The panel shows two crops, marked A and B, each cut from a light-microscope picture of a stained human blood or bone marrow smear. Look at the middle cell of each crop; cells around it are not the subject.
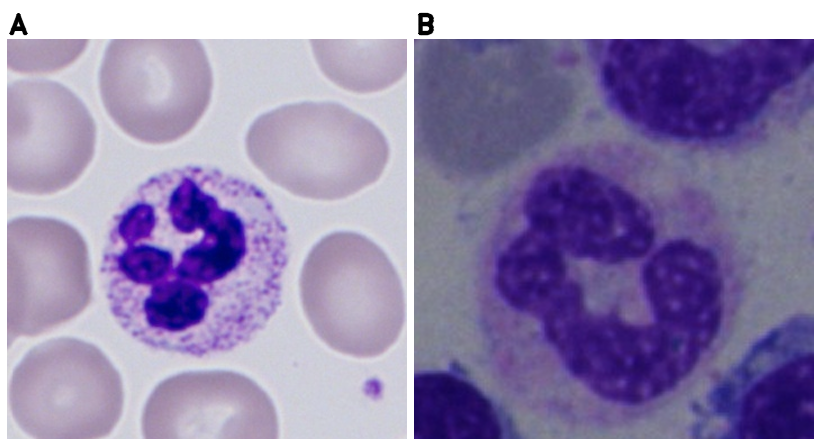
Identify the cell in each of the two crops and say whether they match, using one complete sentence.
Yes, the two crops show segmented neutrophils, both of them.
